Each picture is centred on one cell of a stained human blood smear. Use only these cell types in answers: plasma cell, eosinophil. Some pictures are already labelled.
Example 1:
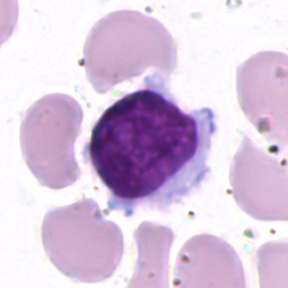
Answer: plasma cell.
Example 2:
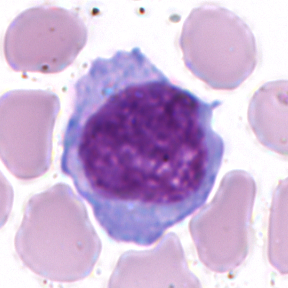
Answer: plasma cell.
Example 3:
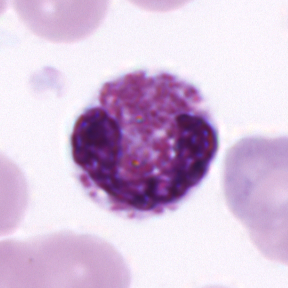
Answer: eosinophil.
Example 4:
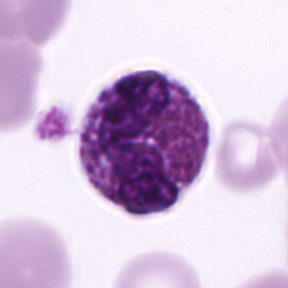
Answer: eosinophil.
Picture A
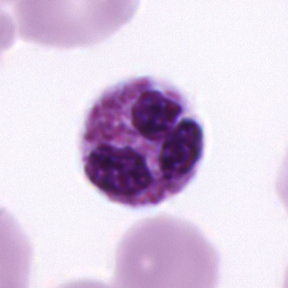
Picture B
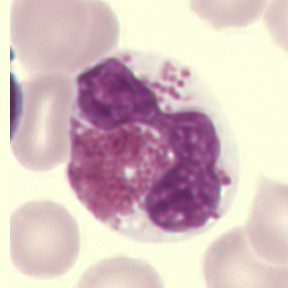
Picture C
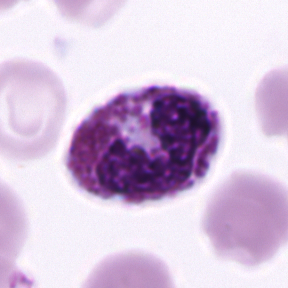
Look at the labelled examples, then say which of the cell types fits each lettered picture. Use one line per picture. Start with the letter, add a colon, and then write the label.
A: eosinophil.
B: eosinophil.
C: eosinophil.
